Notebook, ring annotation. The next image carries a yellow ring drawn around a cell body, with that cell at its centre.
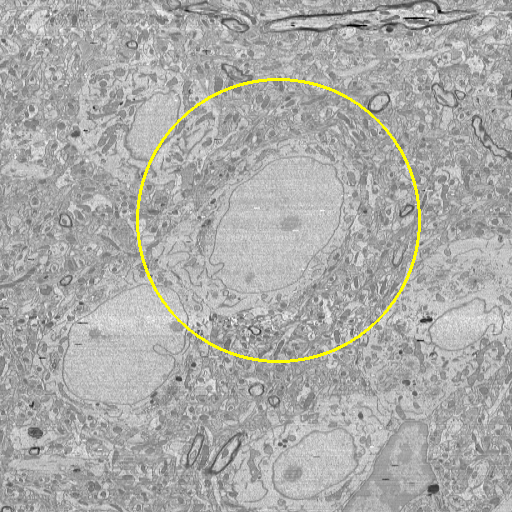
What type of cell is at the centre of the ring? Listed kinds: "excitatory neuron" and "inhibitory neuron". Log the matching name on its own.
excitatory neuron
